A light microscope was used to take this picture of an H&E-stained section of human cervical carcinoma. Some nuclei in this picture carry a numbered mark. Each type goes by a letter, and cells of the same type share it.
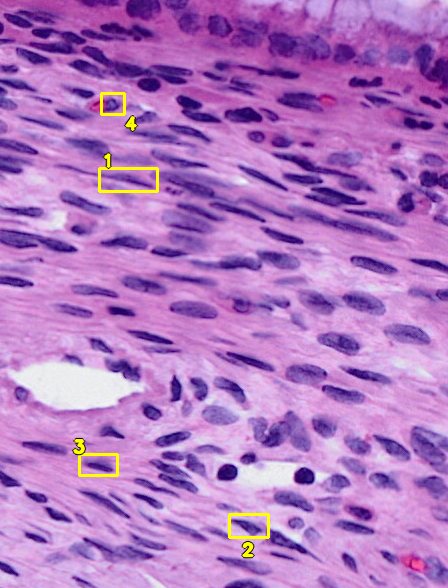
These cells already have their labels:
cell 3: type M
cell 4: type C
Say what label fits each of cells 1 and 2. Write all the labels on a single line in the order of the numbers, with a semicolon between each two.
type M; type M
